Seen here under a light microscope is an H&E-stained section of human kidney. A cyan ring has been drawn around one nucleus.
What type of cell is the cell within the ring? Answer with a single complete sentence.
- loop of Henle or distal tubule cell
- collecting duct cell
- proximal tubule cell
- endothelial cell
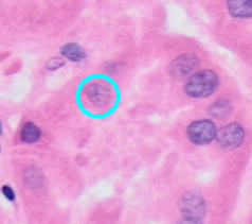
By cell type, the cell within the ring is a proximal tubule cell.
